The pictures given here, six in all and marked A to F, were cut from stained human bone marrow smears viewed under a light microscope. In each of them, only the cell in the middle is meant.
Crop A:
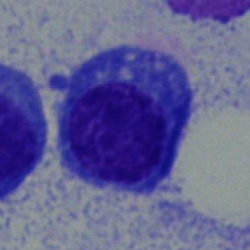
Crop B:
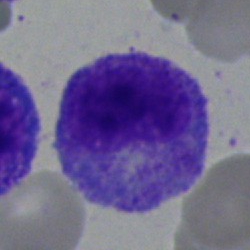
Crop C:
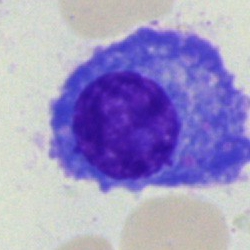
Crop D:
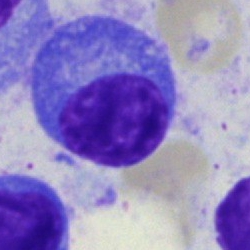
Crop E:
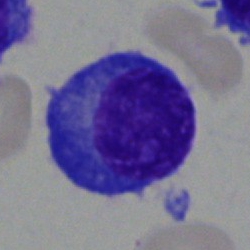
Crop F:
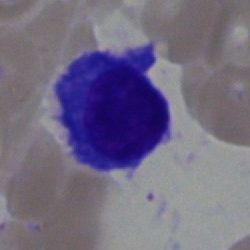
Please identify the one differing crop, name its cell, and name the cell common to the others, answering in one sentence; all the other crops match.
Of the crops, all show plasma cells save crop B, which shows a promyelocyte.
